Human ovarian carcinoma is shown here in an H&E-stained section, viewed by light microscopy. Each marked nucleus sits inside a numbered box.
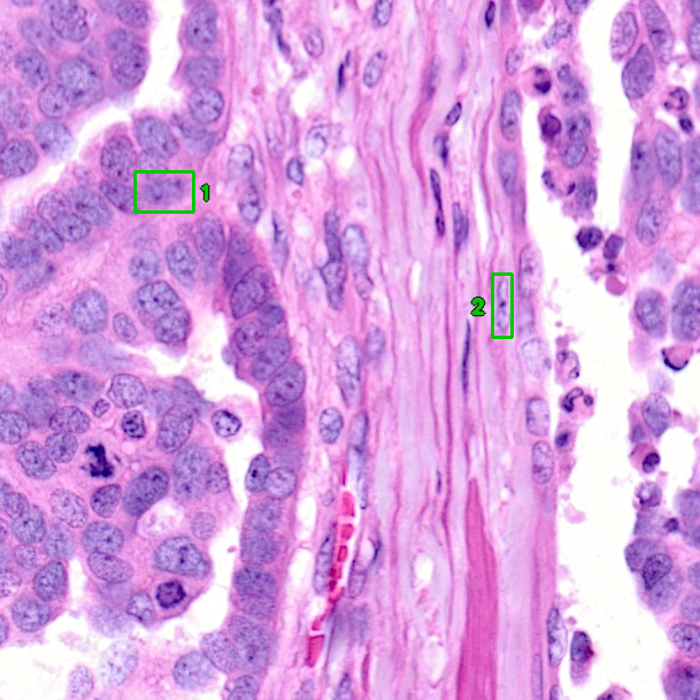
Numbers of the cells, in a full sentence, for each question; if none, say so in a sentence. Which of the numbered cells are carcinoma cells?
Only the cell numbered 1 is a carcinoma cell; none of the others is.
